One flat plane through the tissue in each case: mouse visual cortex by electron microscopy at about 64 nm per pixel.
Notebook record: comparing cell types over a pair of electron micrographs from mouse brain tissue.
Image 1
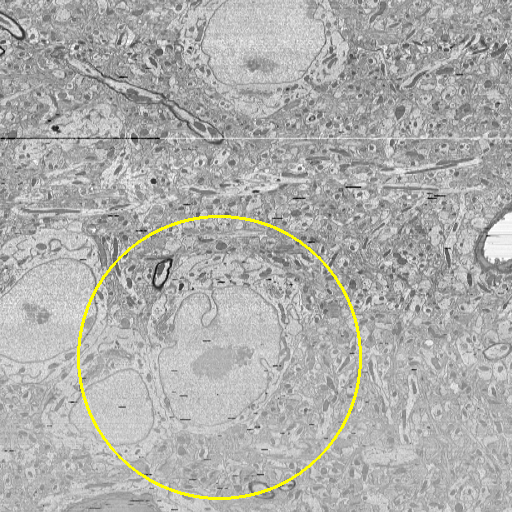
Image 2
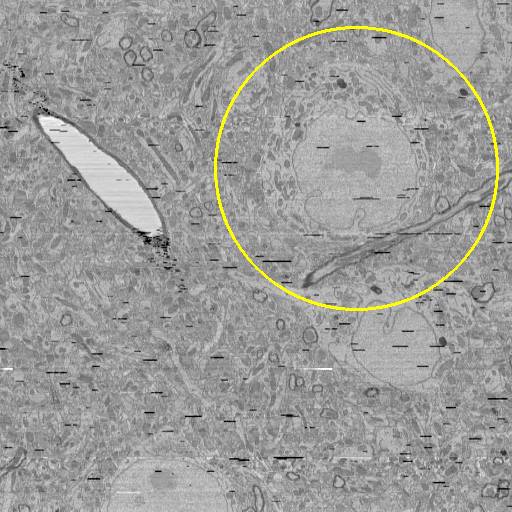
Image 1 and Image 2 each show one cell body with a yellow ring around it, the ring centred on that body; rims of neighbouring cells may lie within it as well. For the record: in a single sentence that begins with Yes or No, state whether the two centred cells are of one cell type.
Yes, one cell type is shared by the centred cells of Image 1 and Image 2.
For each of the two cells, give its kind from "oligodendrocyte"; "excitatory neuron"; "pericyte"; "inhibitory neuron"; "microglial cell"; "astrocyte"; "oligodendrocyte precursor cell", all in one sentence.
Each of the two rings is centred on an inhibitory neuron.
